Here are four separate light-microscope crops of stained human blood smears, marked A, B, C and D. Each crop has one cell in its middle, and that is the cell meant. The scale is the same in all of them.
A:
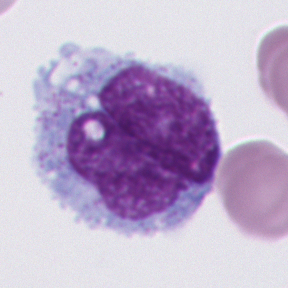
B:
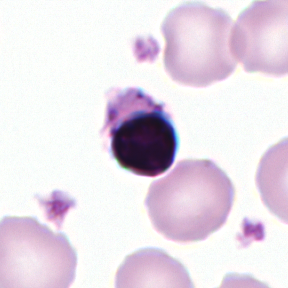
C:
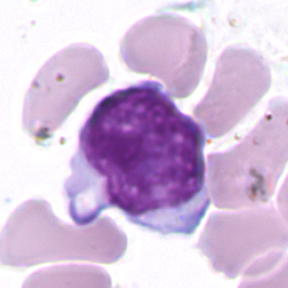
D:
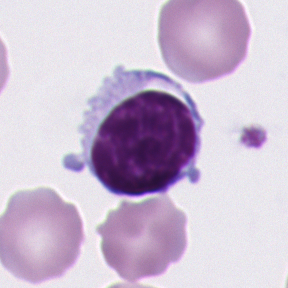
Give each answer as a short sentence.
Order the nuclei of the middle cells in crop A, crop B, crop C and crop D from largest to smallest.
Largest first: A, C, D, B.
